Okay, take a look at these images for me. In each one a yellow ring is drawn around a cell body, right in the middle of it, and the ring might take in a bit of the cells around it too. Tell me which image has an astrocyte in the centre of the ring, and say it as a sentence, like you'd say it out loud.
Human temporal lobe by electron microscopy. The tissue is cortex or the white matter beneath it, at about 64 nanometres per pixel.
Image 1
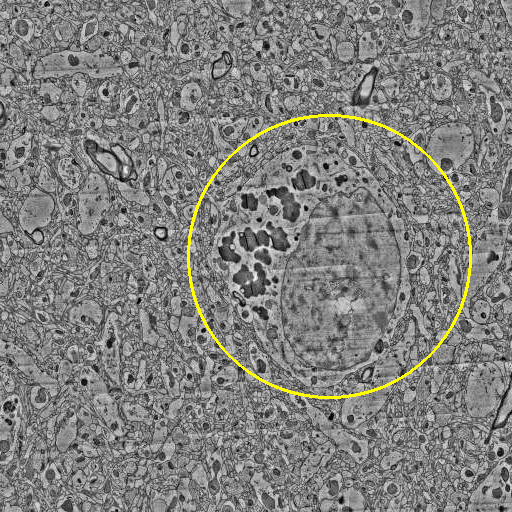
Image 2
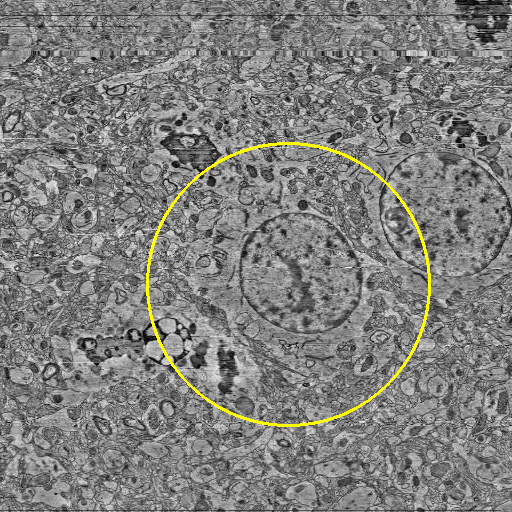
Image 2 is the one with it in the centre of the ring.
